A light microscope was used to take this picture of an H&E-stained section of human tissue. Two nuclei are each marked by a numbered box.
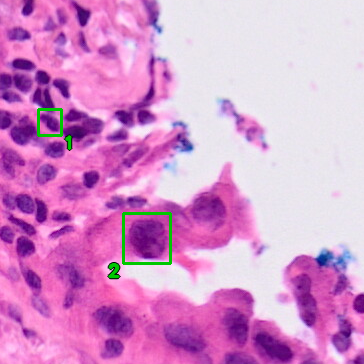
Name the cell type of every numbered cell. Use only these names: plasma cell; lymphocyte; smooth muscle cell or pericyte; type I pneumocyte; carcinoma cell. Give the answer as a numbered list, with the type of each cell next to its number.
1. lymphocyte
2. carcinoma cell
